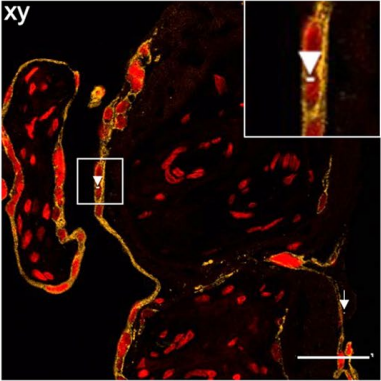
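This is placental villous tissue, and what stands out is the bright orange band running along the outside of each villus: the trophoblast layer covering the villous surface. It is thin and continuous, following the contours of the villi, with elongated red nuclei embedded in or just beneath it. Inside the villi the stroma is dark, with scattered red nuclei of the core cells.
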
